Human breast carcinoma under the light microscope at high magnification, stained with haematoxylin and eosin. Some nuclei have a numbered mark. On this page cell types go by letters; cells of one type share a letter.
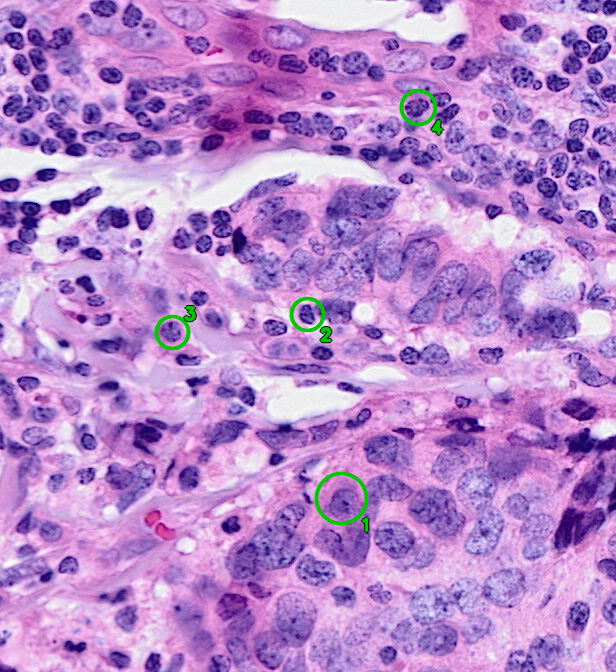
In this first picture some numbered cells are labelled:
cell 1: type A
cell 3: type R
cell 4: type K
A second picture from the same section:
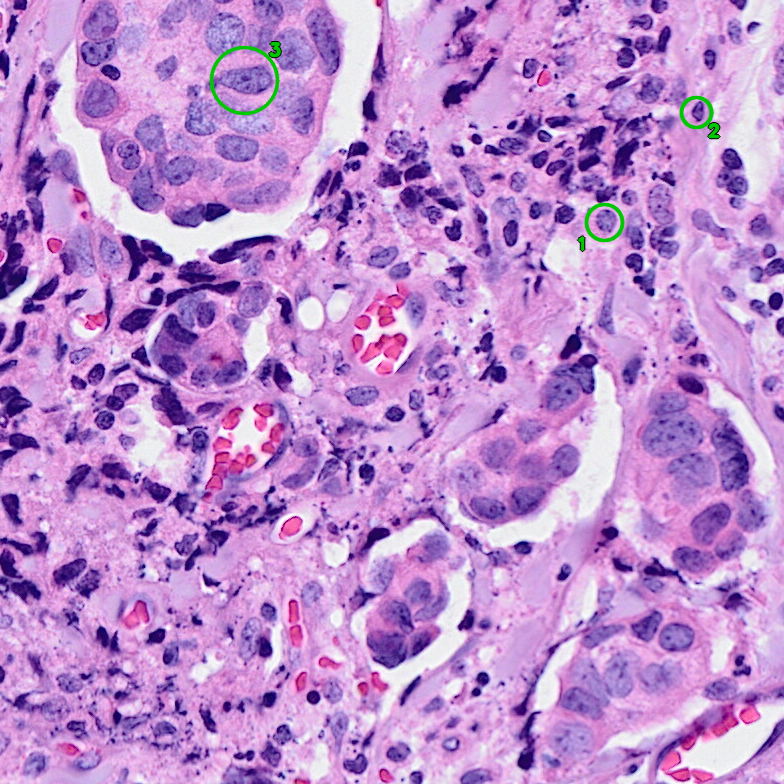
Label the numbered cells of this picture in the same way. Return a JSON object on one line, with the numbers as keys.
{"1": "type R", "2": "type K", "3": "type A"}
